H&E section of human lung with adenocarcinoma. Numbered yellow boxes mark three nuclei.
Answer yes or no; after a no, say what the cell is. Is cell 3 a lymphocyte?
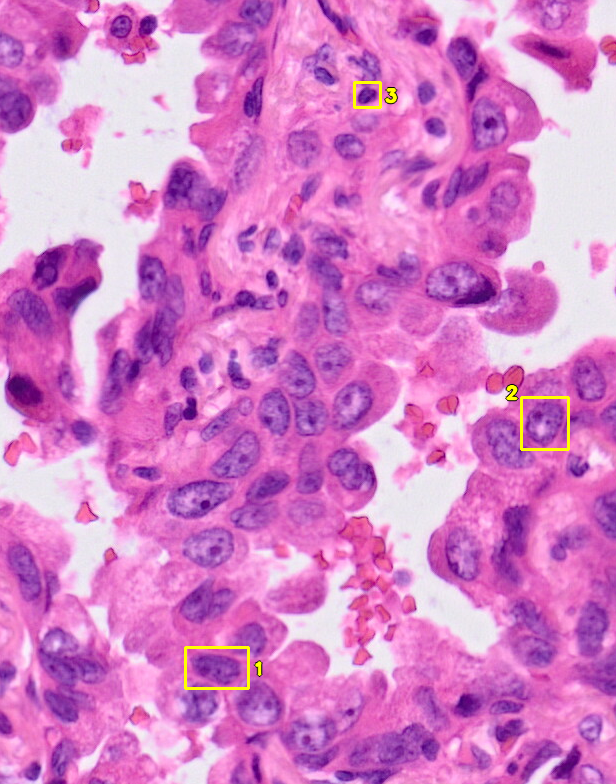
Yes.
